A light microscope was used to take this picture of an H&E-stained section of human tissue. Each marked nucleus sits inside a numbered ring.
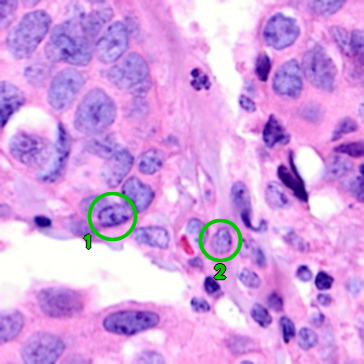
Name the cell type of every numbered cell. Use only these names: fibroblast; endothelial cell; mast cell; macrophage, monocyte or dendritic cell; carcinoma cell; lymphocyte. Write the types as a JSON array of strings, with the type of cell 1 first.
["carcinoma cell", "endothelial cell"]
